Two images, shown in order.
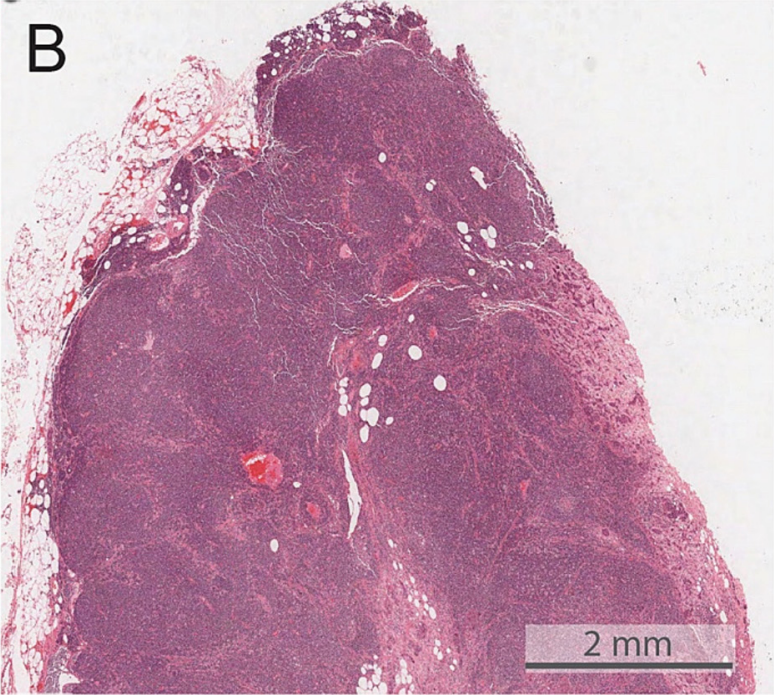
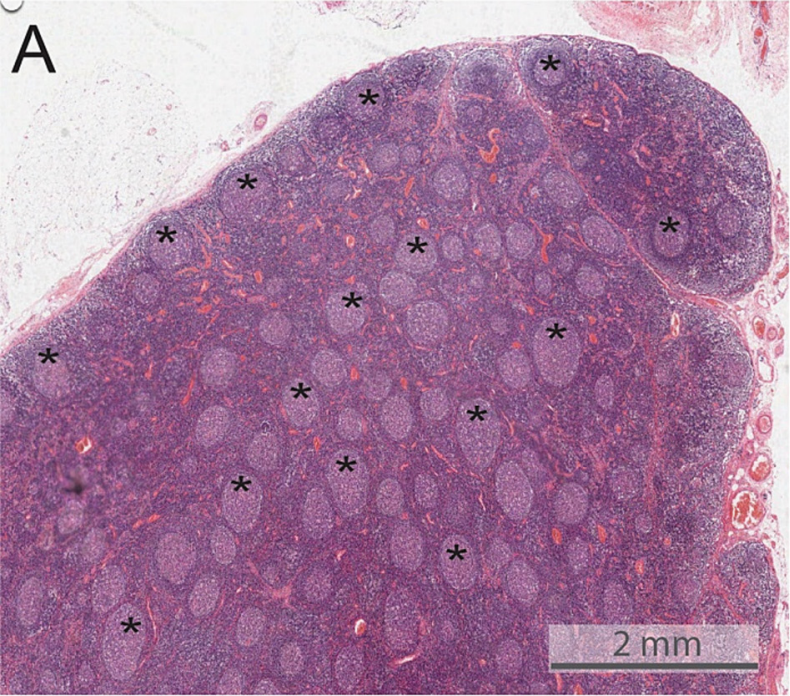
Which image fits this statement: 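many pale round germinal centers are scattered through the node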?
the second image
